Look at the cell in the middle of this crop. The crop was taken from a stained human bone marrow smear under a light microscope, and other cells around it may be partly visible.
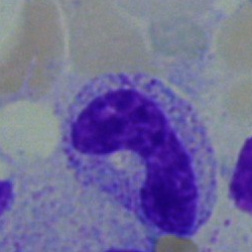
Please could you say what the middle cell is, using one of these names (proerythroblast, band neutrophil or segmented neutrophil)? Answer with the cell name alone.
band neutrophil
